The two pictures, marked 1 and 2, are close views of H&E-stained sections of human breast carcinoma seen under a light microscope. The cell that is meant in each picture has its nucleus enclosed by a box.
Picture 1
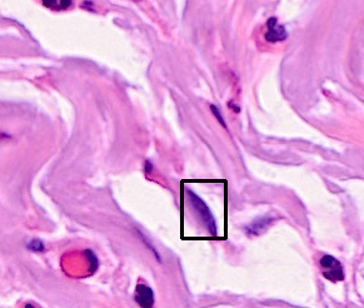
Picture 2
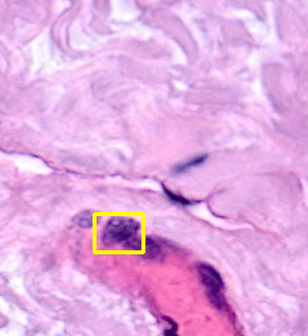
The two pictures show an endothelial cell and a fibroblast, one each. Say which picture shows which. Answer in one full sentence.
It is picture 1 that shows a fibroblast, and picture 2 that shows an endothelial cell.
